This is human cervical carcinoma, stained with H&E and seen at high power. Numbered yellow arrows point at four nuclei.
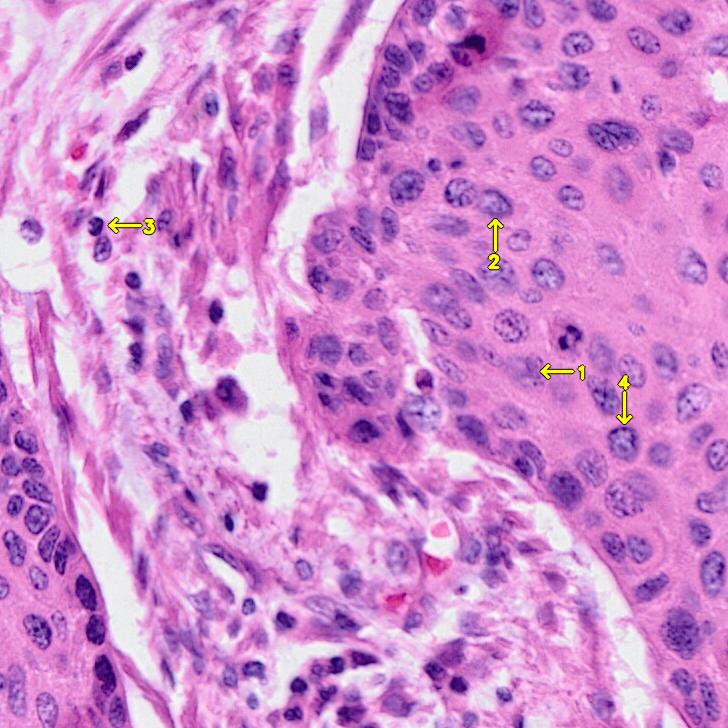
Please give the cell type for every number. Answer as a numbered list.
1. squamous carcinoma cell
2. squamous carcinoma cell
3. lymphocyte
4. squamous carcinoma cell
